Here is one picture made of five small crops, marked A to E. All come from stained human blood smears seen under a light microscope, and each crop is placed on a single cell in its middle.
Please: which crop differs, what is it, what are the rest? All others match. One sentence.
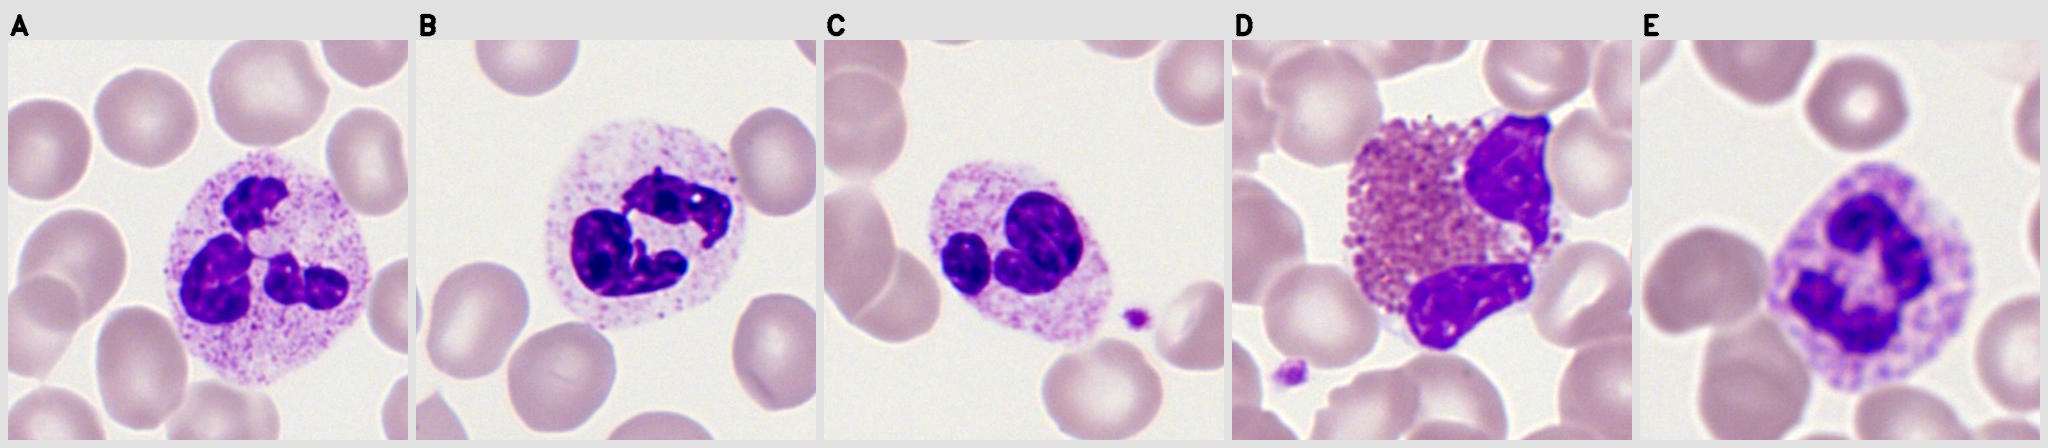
Crop D, showing an eosinophil, is the exception; the others all show segmented neutrophils.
